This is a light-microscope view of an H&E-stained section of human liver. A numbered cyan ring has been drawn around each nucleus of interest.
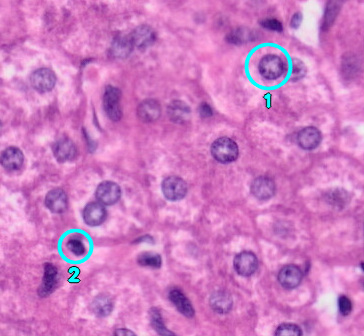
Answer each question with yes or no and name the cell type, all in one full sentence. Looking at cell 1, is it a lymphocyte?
No, number 1 marks a hepatocyte rather than a lymphocyte.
